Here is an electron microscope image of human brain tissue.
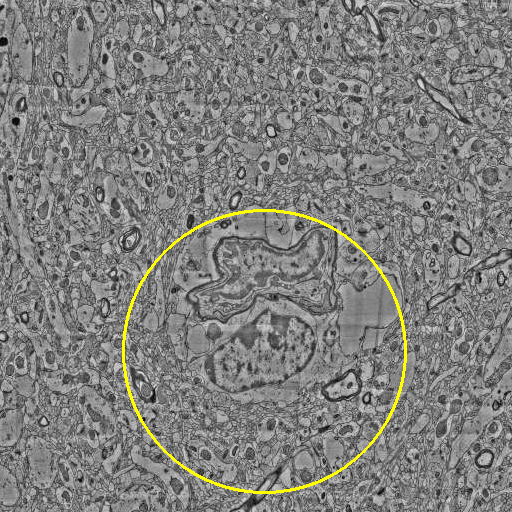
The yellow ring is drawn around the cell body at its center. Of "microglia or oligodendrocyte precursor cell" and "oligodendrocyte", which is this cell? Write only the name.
microglia or oligodendrocyte precursor cell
